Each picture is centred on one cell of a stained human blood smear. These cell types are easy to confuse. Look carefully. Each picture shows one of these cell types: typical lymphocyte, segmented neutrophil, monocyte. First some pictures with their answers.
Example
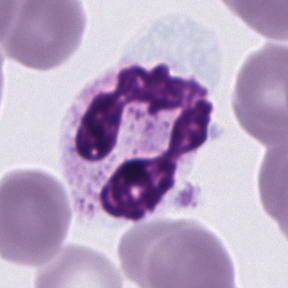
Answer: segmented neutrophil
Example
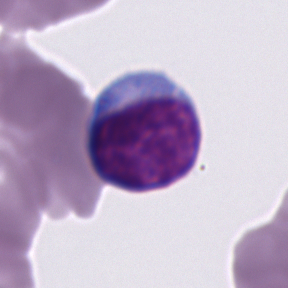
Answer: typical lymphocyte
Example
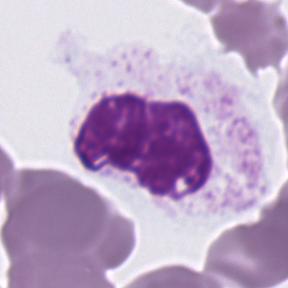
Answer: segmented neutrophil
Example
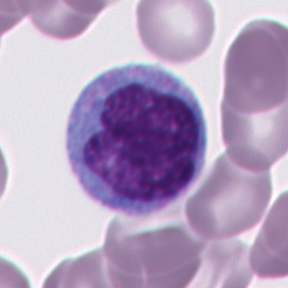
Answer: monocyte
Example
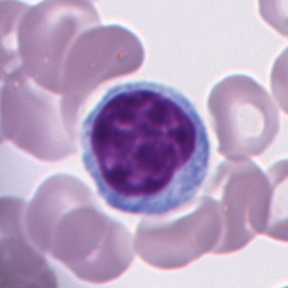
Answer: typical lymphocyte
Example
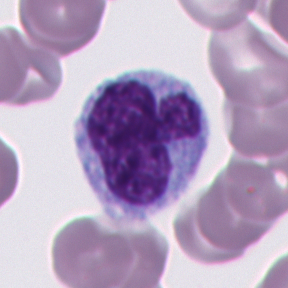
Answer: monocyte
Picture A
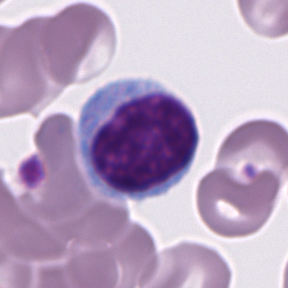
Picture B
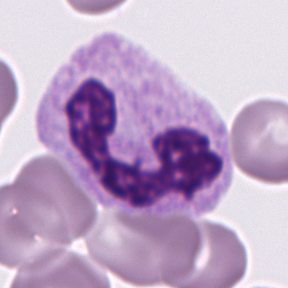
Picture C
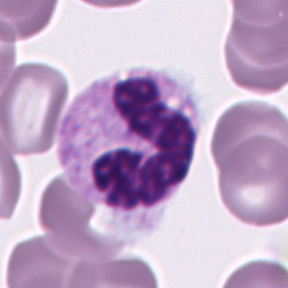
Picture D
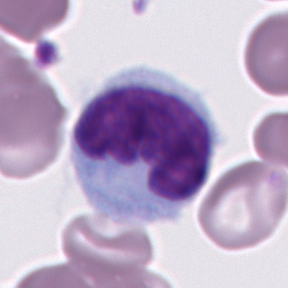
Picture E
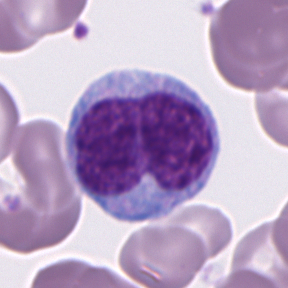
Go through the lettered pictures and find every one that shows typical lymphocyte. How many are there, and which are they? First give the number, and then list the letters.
1, namely A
